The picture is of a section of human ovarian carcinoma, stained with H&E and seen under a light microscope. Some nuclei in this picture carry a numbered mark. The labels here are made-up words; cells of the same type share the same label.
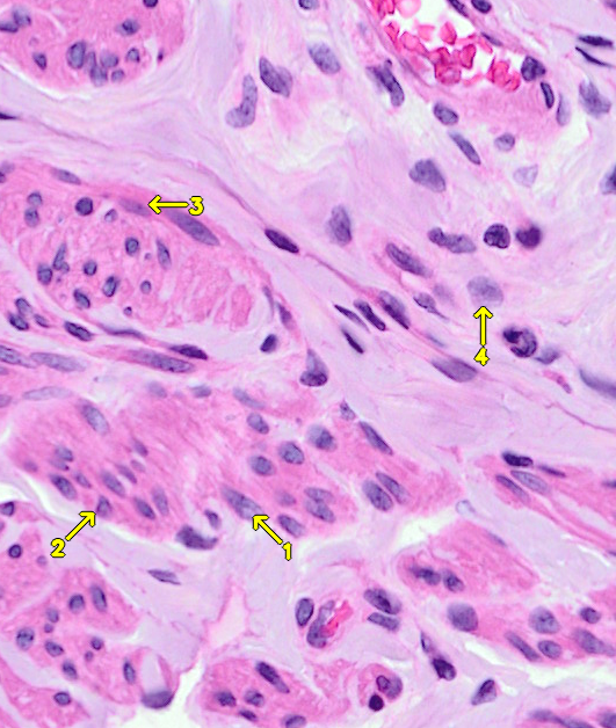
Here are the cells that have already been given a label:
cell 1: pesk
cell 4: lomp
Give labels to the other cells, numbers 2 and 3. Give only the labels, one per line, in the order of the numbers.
pesk
pesk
